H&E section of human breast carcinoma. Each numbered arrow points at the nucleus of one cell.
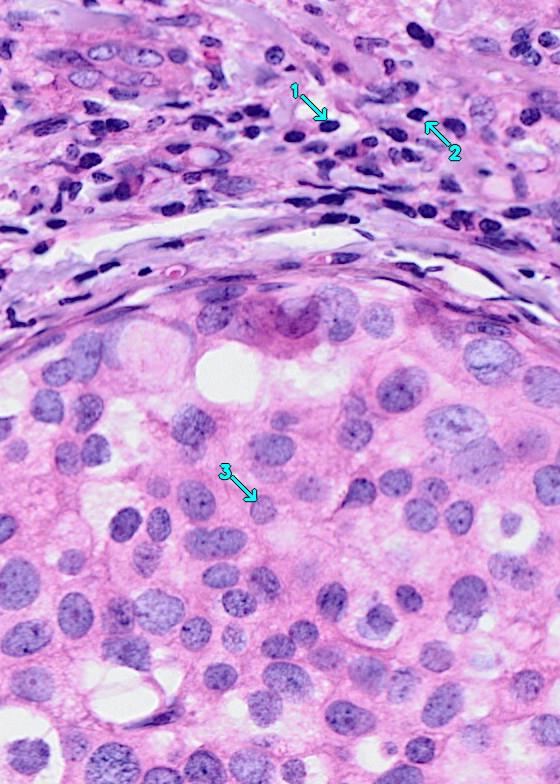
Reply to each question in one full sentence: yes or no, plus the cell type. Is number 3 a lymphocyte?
No, cell 3 is not to be taken for a lymphocyte; it is a carcinoma cell.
